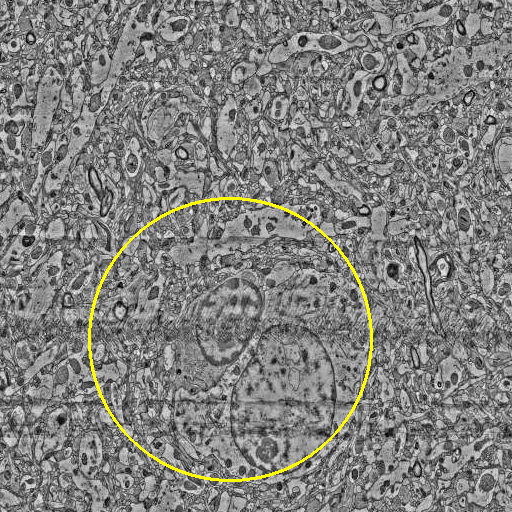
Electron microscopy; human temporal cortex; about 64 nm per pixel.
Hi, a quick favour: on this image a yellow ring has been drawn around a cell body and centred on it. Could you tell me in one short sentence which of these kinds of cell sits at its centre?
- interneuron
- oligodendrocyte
The ring is centred on an oligodendrocyte.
